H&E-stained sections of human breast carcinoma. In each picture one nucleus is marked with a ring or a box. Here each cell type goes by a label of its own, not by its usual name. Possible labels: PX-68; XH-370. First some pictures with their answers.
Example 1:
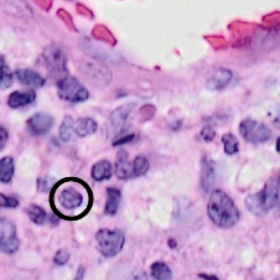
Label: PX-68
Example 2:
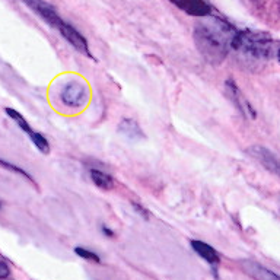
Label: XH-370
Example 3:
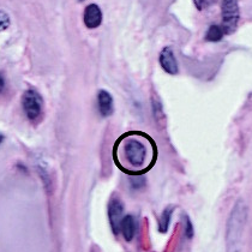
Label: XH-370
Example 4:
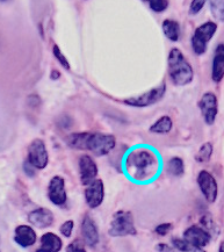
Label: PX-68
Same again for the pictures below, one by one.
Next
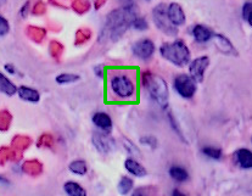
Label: XH-370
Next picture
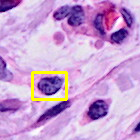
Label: XH-370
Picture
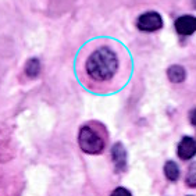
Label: XH-370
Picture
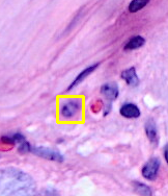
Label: XH-370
